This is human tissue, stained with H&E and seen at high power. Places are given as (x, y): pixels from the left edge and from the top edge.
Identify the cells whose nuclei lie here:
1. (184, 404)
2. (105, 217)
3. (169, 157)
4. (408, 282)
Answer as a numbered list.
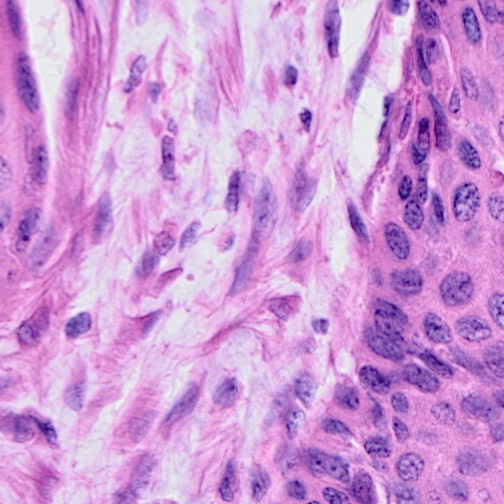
1. fibroblast
2. fibroblast
3. fibroblast
4. squamous carcinoma cell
